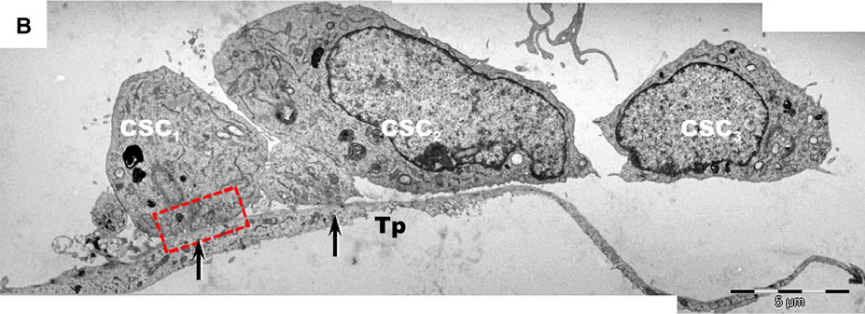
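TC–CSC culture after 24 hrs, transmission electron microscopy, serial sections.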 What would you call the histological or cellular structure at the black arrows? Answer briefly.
close contacts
